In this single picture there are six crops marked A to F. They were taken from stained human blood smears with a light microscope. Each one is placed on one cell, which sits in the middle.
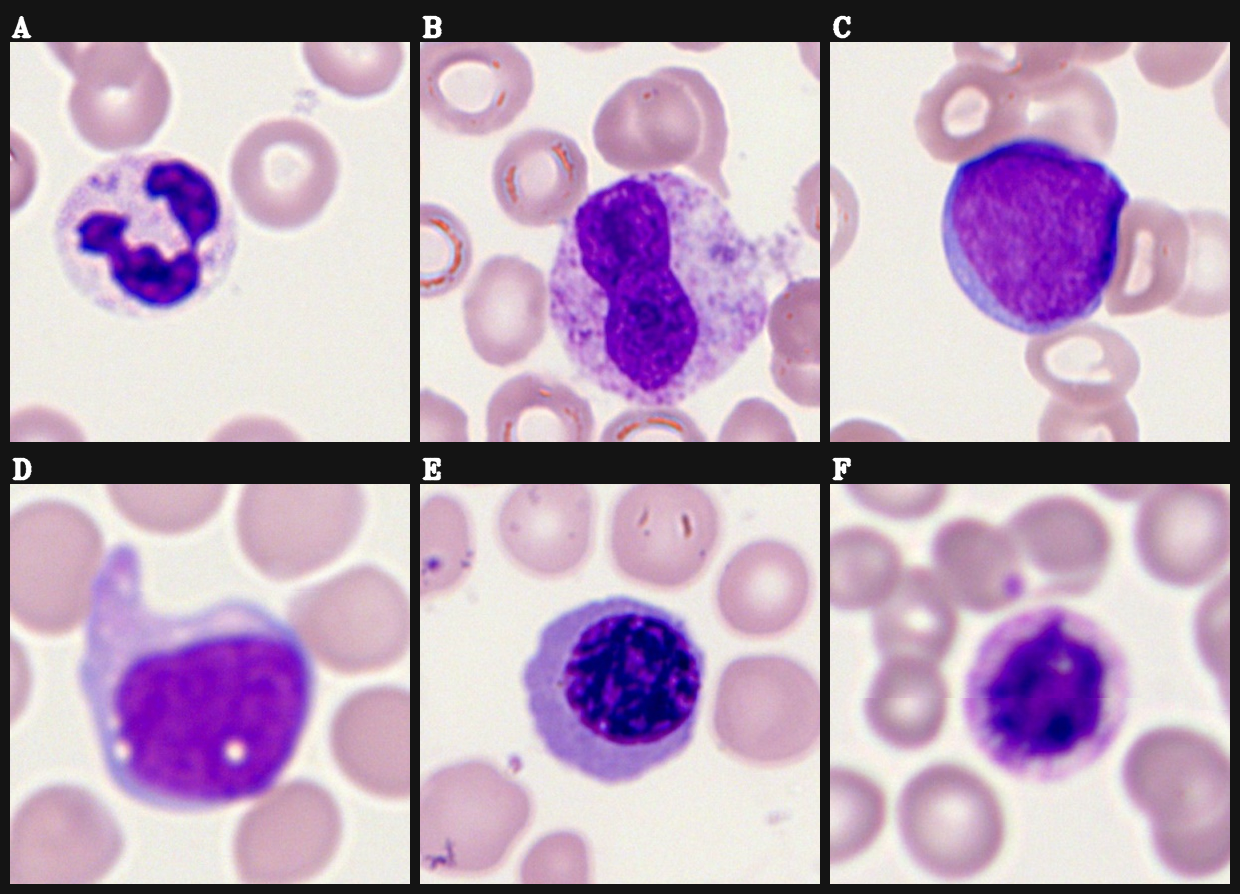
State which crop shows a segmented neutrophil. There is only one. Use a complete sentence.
The sole crop showing a segmented neutrophil is crop A.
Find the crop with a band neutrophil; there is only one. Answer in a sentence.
Crop B is the one in the set with a band neutrophil at the center.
